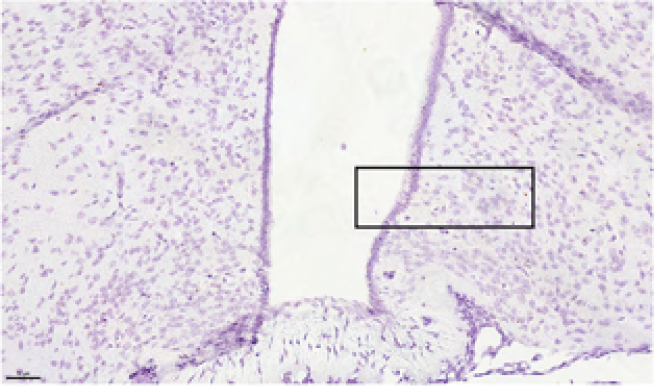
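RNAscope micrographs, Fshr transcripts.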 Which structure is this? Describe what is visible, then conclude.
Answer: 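Third ventricle. The cavity walls are lined by a thin, darker layer of cells. Paired symmetric tissue lies on either side of the cavity.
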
